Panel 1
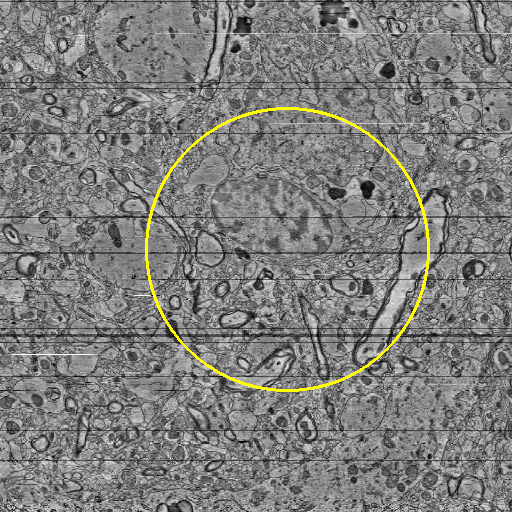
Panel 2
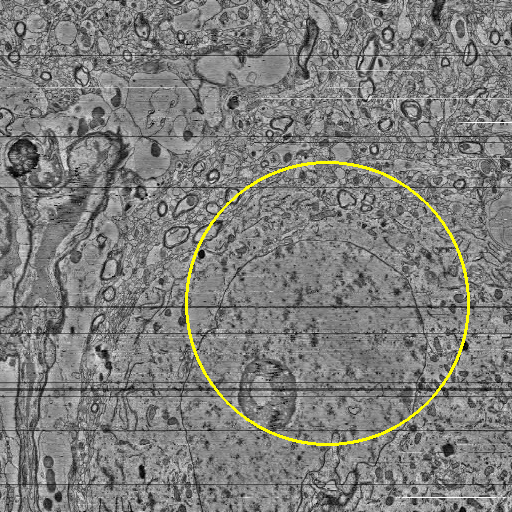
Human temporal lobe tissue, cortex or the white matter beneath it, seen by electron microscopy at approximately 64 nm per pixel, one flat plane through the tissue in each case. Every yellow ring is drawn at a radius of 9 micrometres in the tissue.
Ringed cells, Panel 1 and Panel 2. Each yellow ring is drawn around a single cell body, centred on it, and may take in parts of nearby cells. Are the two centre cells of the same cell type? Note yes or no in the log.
no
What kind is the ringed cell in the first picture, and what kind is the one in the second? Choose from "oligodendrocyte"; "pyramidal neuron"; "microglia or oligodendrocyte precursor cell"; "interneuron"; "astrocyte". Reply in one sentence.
The first cell is an oligodendrocyte; the second is a pyramidal neuron.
